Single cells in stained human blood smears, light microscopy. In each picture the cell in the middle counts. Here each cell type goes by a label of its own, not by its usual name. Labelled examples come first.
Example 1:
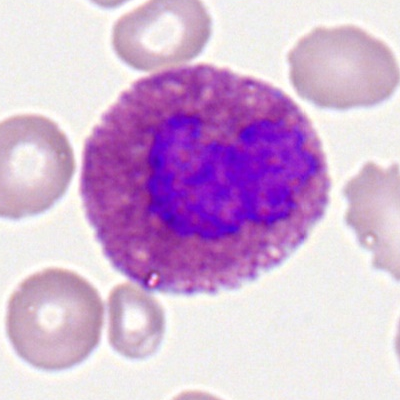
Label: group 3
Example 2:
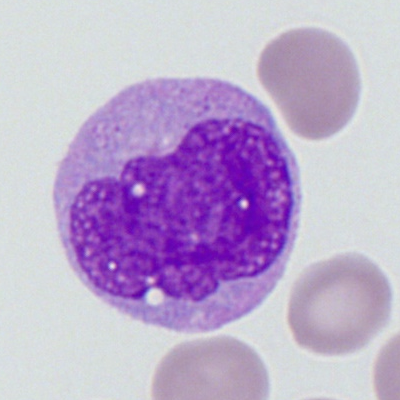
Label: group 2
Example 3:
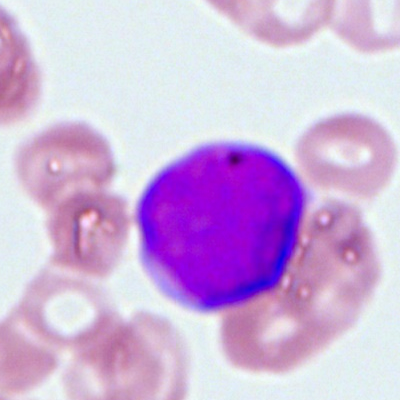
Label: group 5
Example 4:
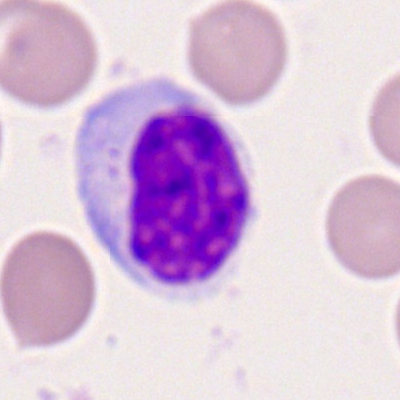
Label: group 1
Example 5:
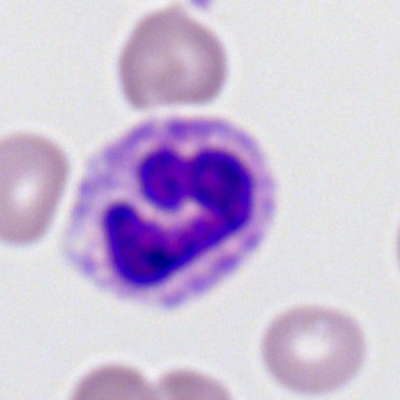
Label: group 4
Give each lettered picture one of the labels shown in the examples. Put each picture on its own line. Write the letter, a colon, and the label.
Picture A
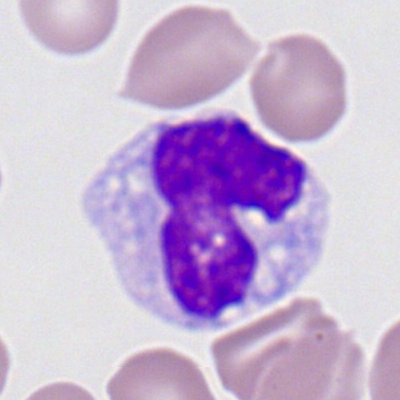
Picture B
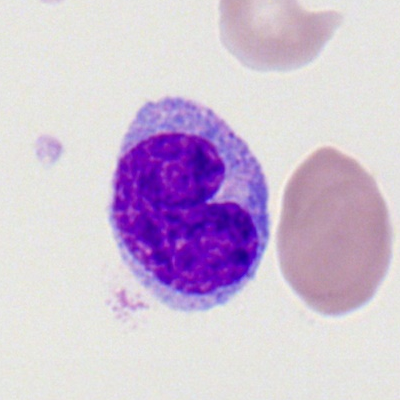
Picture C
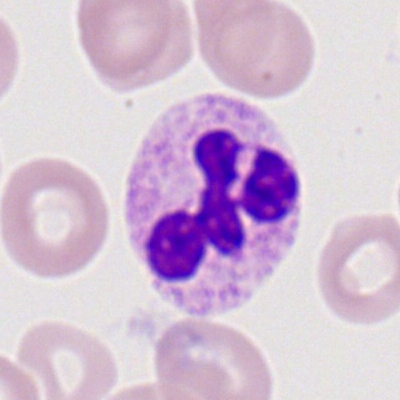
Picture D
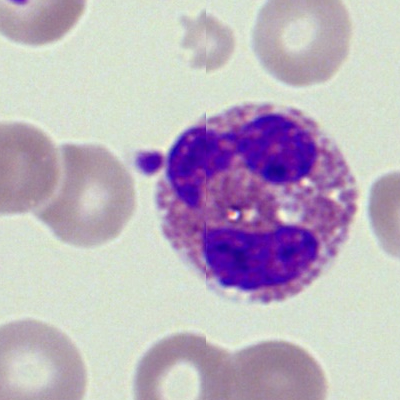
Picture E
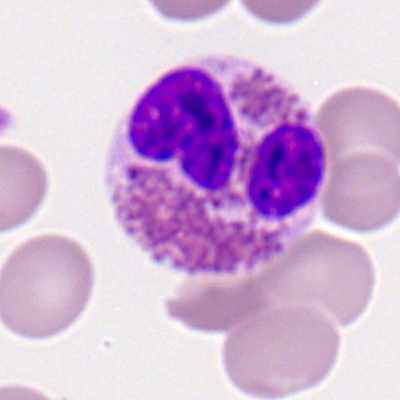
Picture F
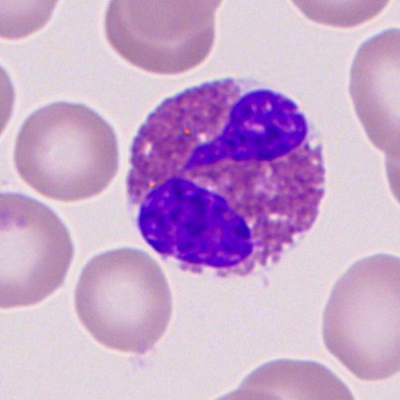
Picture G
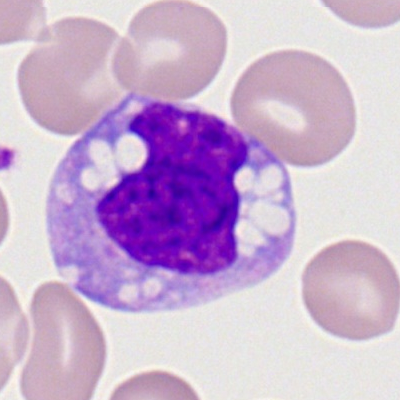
A: group 2
B: group 2
C: group 4
D: group 3
E: group 3
F: group 3
G: group 2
